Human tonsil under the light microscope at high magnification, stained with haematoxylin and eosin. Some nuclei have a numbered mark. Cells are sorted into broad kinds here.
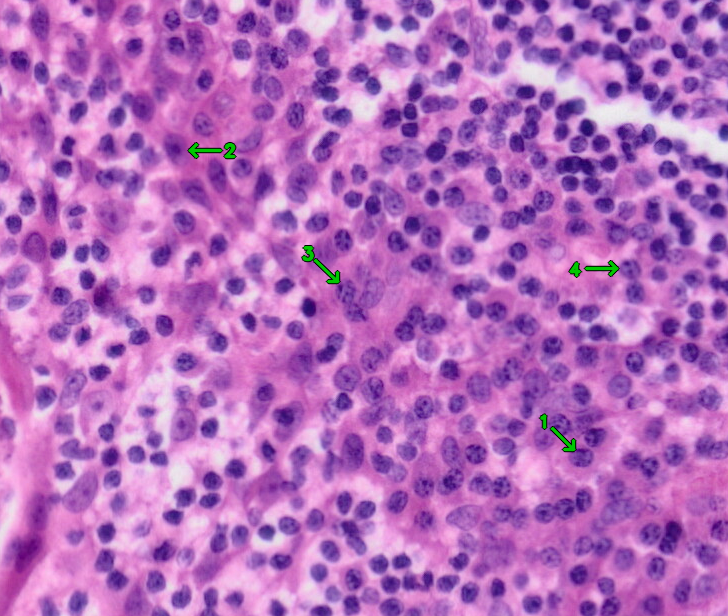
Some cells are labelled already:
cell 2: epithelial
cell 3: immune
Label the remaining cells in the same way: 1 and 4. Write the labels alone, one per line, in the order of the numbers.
immune
immune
